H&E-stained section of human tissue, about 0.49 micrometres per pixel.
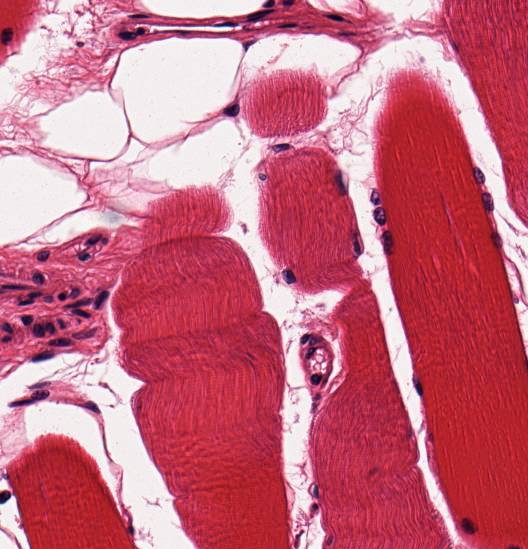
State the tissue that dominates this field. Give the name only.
skeletal muscle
